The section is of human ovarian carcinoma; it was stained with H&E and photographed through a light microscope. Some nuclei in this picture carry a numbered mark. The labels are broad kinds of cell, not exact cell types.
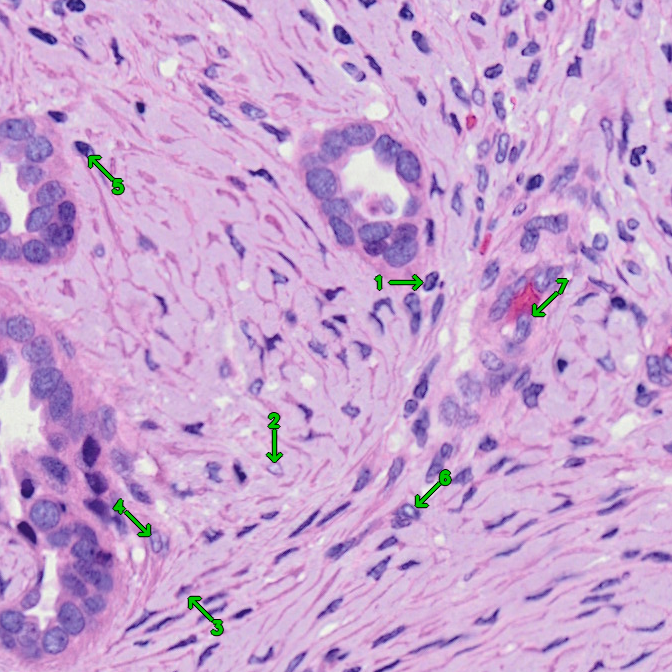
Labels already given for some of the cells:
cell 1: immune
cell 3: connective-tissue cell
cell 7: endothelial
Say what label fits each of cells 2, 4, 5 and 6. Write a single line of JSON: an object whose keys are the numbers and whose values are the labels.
{"2": "connective-tissue cell", "4": "connective-tissue cell", "5": "immune", "6": "connective-tissue cell"}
